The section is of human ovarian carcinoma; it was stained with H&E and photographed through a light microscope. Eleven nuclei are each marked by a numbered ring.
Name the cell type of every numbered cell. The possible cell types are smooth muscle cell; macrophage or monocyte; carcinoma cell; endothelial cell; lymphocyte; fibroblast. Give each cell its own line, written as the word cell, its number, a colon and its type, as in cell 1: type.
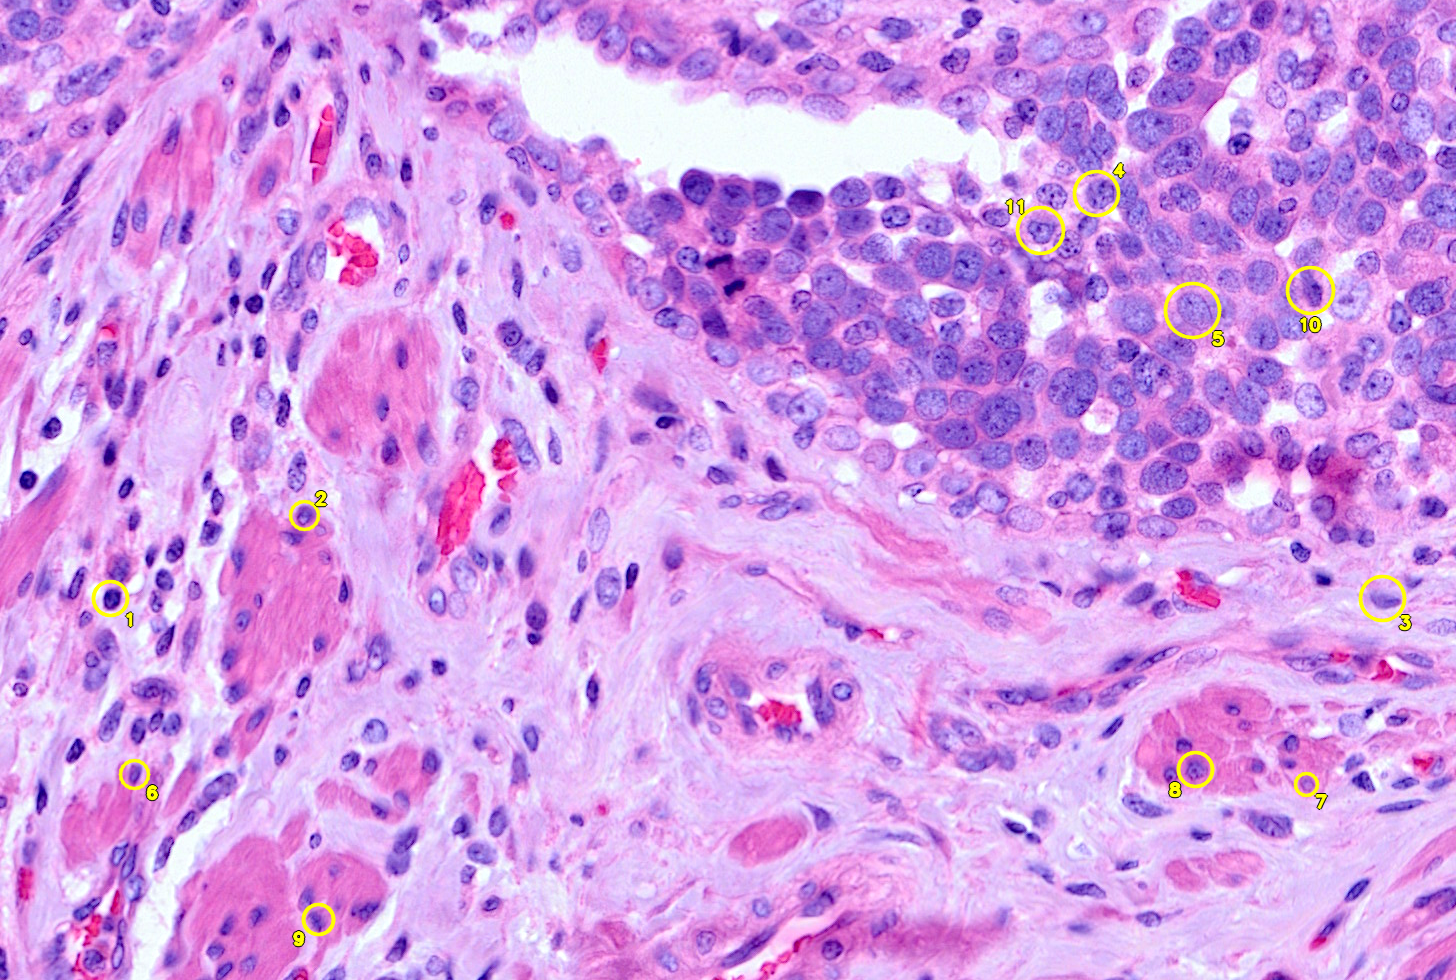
cell 1: lymphocyte
cell 2: smooth muscle cell
cell 3: fibroblast
cell 4: macrophage or monocyte
cell 5: carcinoma cell
cell 6: smooth muscle cell
cell 7: smooth muscle cell
cell 8: smooth muscle cell
cell 9: smooth muscle cell
cell 10: macrophage or monocyte
cell 11: macrophage or monocyte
